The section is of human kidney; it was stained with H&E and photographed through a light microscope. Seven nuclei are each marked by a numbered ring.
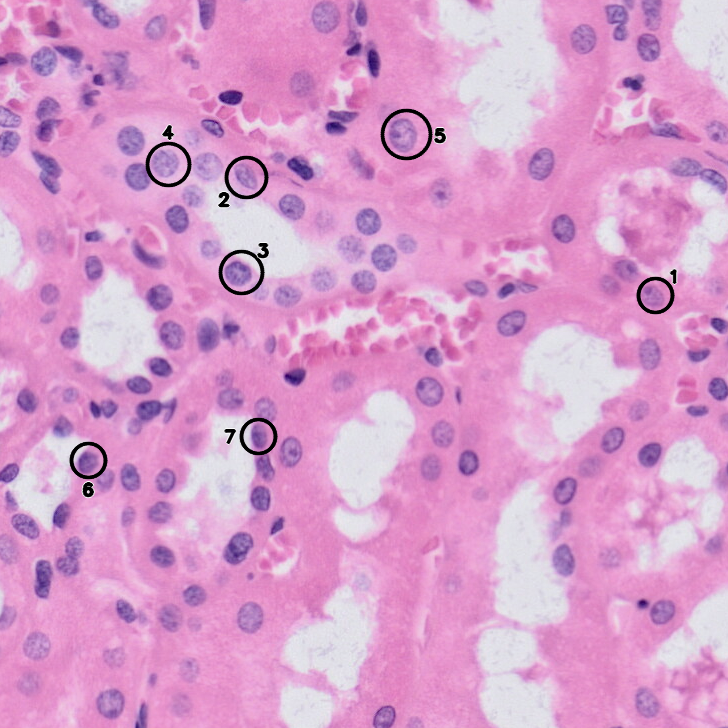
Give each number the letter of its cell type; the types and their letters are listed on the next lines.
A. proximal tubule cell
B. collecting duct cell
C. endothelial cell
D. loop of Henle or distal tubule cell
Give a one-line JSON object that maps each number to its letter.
{"1": "A", "2": "B", "3": "B", "4": "B", "5": "A", "6": "D", "7": "D"}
